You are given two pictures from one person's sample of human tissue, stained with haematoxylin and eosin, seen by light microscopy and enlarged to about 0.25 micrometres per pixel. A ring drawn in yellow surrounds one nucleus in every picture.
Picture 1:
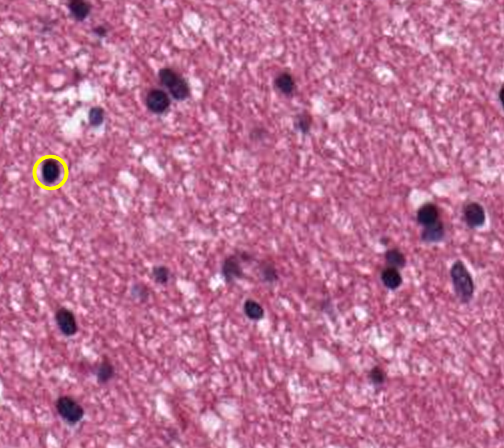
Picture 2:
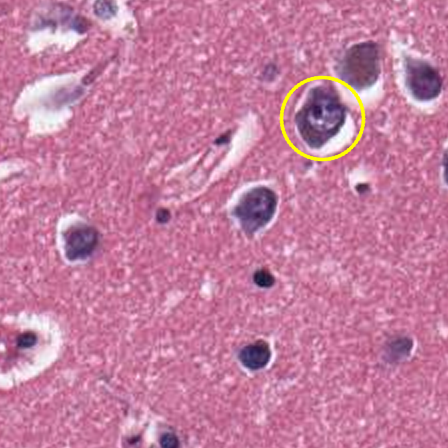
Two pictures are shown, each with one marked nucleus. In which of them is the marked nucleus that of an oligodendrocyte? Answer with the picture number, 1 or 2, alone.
1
